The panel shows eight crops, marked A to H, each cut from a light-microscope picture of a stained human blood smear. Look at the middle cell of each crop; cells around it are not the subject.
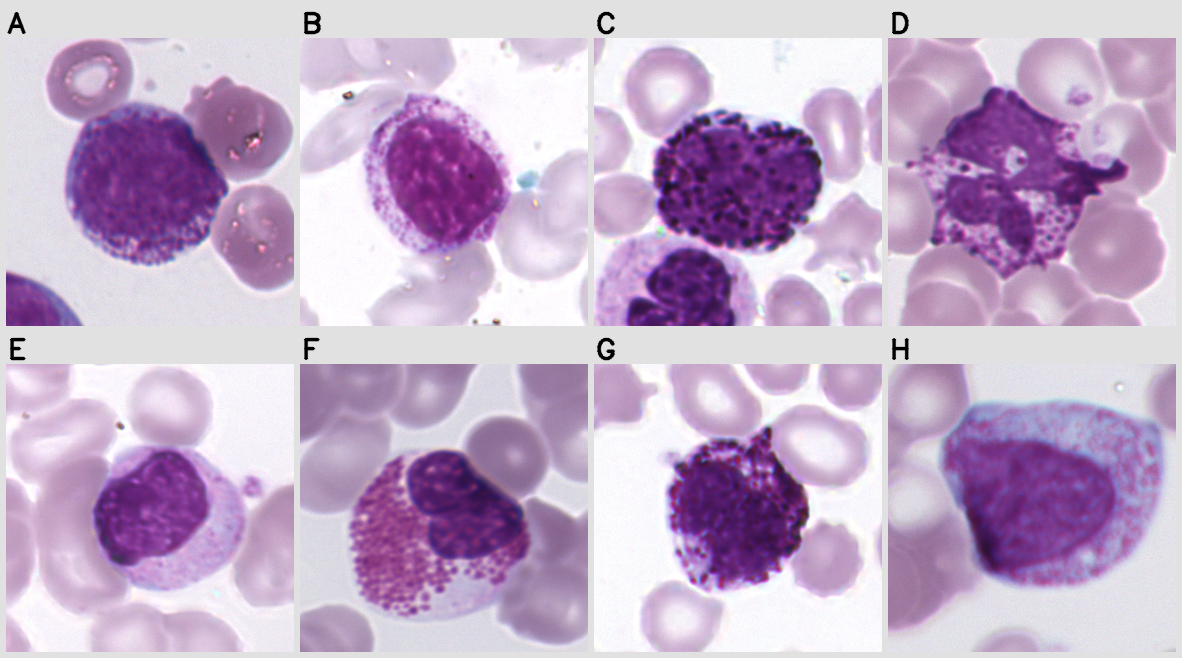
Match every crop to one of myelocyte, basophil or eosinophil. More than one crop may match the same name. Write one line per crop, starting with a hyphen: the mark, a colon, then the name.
- A: myelocyte
- B: myelocyte
- C: basophil
- D: basophil
- E: myelocyte
- F: eosinophil
- G: basophil
- H: myelocyte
